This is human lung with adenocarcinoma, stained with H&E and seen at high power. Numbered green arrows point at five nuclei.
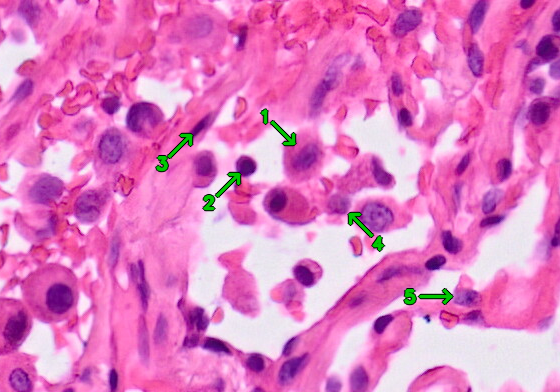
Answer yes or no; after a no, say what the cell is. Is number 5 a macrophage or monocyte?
No, it is a type I pneumocyte.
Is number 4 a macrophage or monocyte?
Yes.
